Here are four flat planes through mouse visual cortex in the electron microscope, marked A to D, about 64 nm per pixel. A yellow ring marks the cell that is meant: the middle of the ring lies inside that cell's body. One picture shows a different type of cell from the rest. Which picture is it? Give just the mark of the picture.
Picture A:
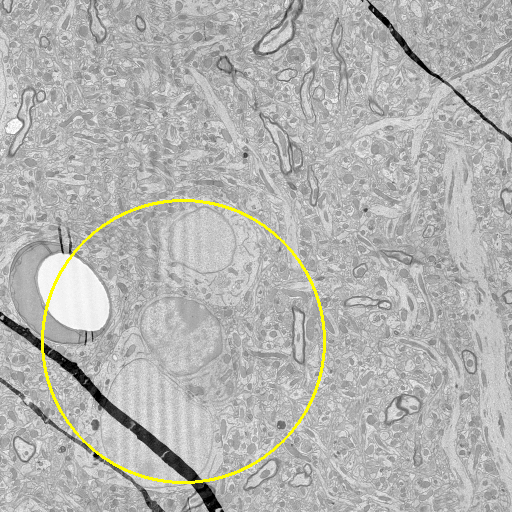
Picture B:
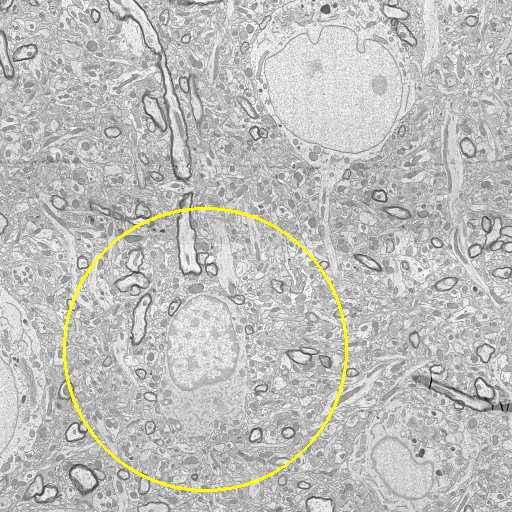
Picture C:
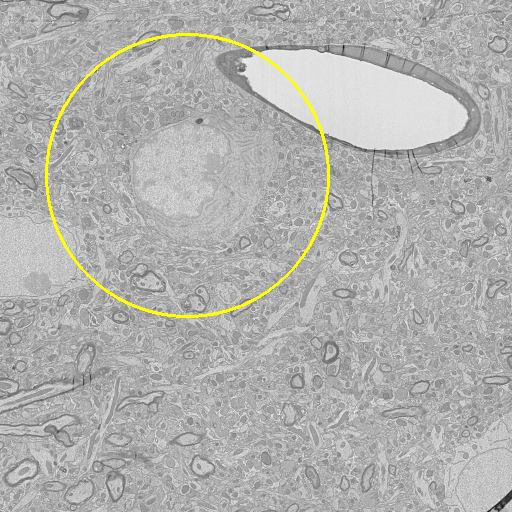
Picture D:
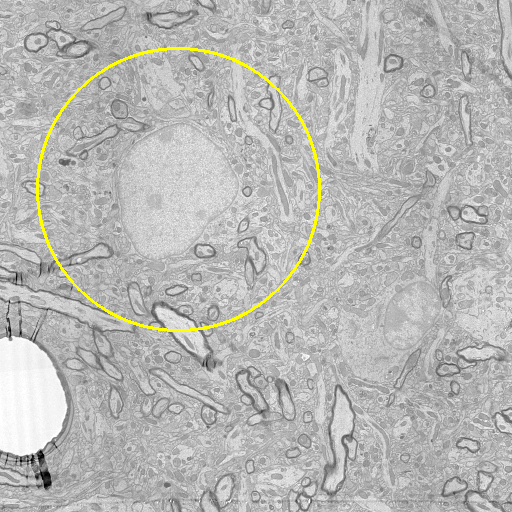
D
